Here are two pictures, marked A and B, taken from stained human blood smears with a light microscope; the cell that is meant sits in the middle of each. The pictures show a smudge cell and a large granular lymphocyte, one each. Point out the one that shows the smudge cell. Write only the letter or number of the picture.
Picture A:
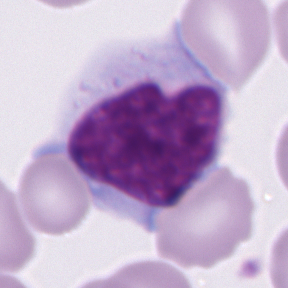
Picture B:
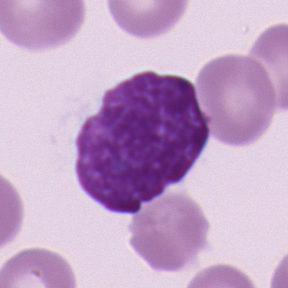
B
